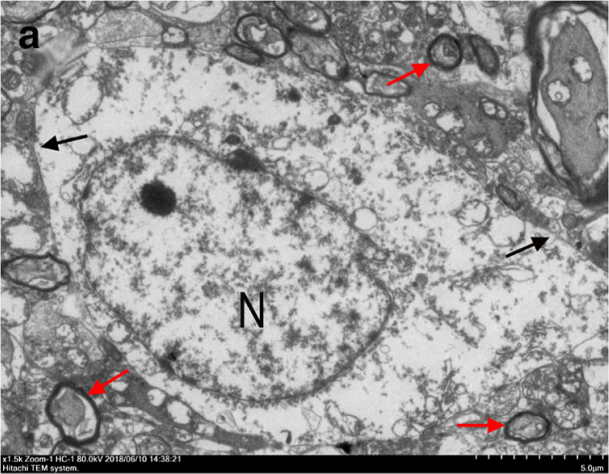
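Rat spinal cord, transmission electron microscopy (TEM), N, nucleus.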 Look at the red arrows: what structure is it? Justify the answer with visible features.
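Myelin. The red arrows point at dark, dense concentric rings around small round profiles. The rings lie in the neuropil outside the large cell body.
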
